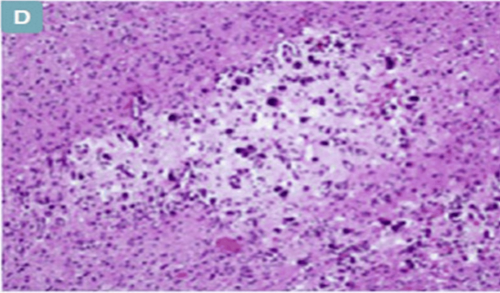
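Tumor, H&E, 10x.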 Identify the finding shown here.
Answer: microcalcifications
